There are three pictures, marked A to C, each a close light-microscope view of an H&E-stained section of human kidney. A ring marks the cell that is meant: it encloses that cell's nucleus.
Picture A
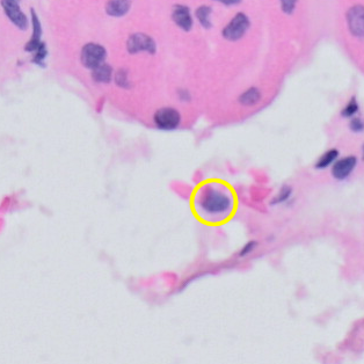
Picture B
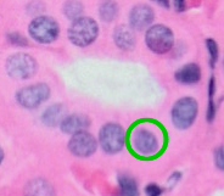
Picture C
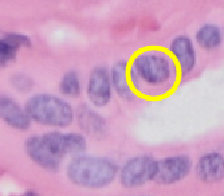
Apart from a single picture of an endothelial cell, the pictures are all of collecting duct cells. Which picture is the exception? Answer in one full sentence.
The cell in picture A is the endothelial cell.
